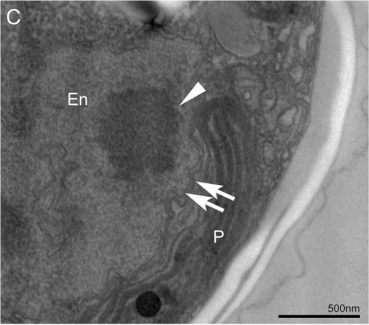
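The nucleus is a pale, finely granular region. Within it, the arrowhead marks a darker, rounded granular patch, the nucleolus. The plastid is filled with parallel, closely stacked membrane lamellae that curve along the cell margin. A small dark droplet sits below, and the bright cell wall layers run along the right side.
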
